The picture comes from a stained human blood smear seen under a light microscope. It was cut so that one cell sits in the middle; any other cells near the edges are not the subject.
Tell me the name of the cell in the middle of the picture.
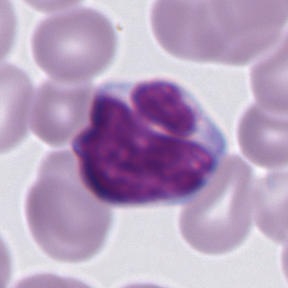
large granular lymphocyte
